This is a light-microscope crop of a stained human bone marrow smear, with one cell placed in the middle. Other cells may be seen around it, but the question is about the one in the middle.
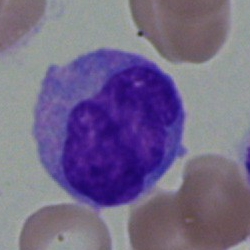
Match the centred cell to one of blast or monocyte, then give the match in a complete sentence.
The cell the crop is centered on is a monocyte.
